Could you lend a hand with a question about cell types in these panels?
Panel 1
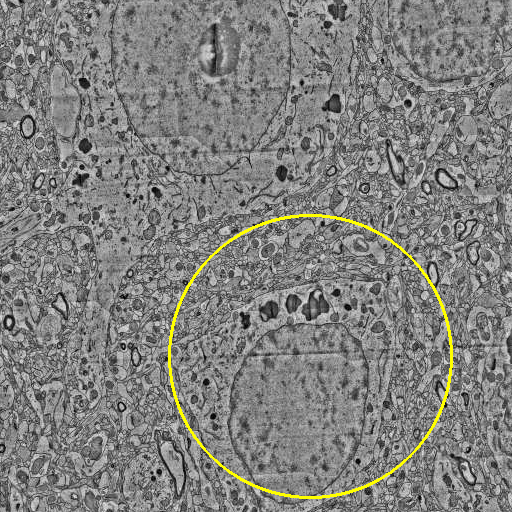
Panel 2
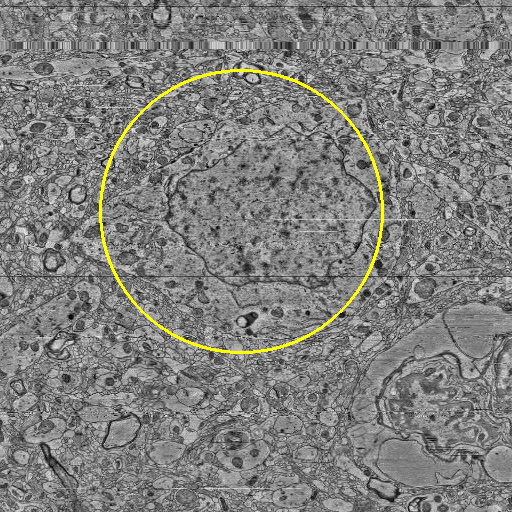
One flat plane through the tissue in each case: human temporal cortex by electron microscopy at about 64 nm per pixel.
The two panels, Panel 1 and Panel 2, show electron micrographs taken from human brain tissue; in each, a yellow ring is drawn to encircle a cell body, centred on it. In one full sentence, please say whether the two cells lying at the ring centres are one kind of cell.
No, the cells at the ring centres in the two panels are two kinds of cell.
